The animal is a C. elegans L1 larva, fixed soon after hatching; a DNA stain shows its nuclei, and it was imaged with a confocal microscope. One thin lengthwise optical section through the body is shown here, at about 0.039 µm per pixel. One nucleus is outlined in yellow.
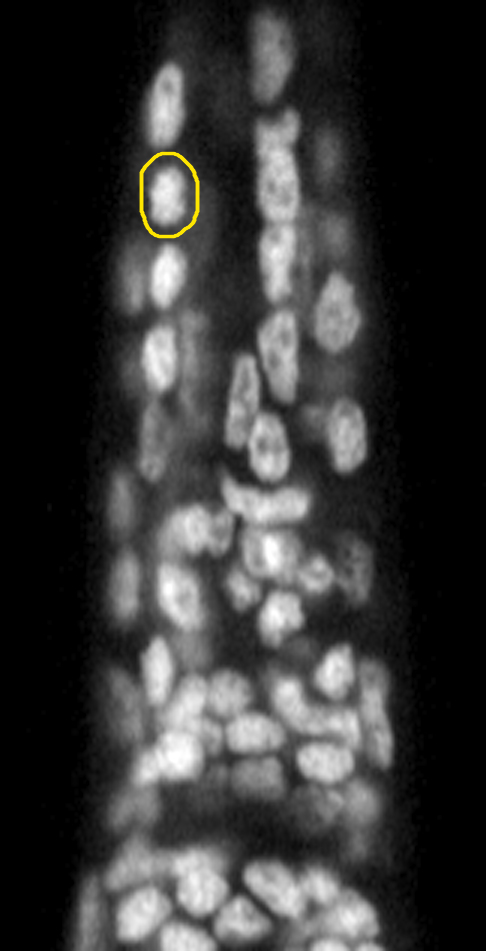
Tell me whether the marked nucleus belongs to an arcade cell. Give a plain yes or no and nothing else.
yes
